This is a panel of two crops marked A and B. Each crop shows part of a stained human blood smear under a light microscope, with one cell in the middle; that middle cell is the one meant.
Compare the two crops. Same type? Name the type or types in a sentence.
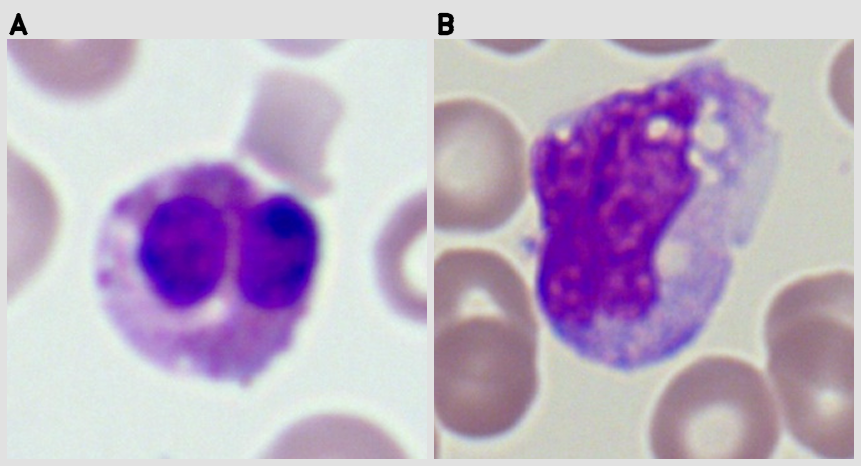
No, an eosinophil is in crop A, while a monocyte is in crop B.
